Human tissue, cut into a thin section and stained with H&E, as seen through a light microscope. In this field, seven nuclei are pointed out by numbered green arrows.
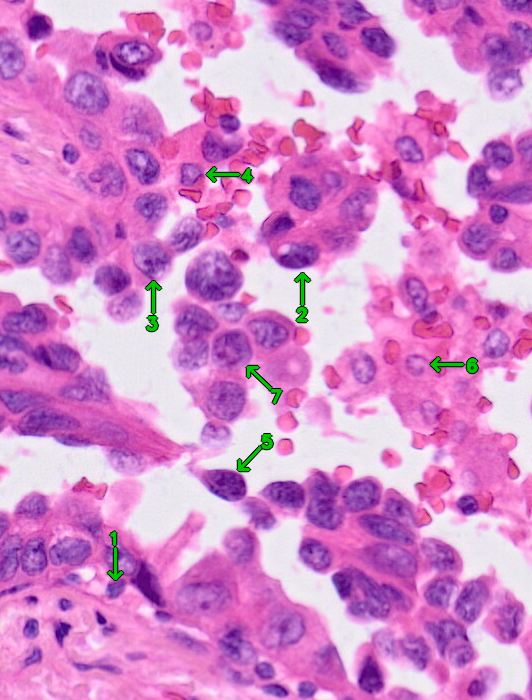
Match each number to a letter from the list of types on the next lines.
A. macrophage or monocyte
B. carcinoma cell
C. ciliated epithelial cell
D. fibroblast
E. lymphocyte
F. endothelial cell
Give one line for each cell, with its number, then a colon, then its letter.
1: E
2: B
3: B
4: A
5: B
6: A
7: B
